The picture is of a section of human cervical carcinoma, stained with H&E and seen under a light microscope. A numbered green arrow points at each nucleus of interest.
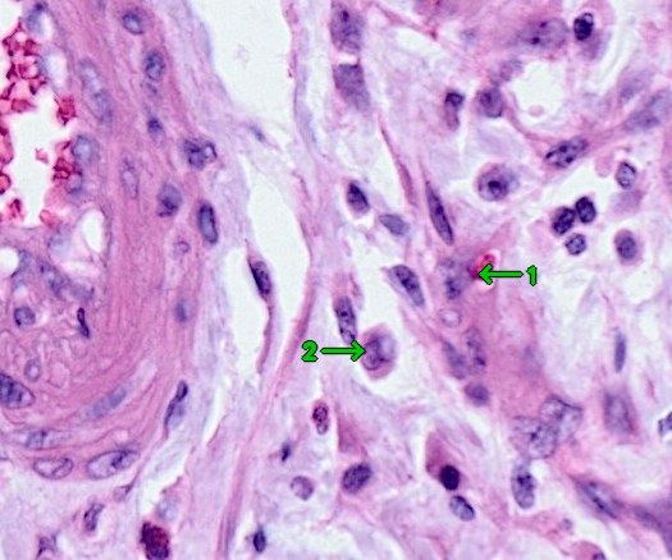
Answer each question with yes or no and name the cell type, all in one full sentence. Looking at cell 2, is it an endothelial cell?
No, cell 2 is not an endothelial cell; it is a macrophage or monocyte.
